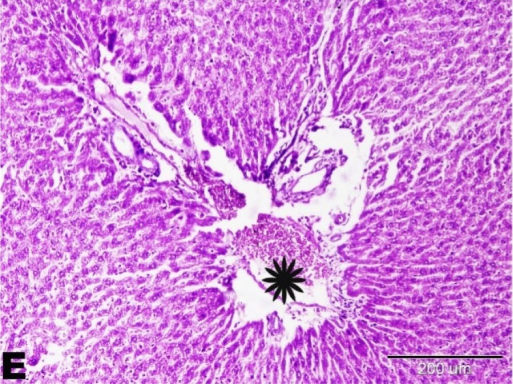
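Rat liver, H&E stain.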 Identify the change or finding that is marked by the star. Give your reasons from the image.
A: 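Wide portal veins filled with blood. A large vessel lumen lies in a widened area in the centre. The lumen contains packed blood cells.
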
